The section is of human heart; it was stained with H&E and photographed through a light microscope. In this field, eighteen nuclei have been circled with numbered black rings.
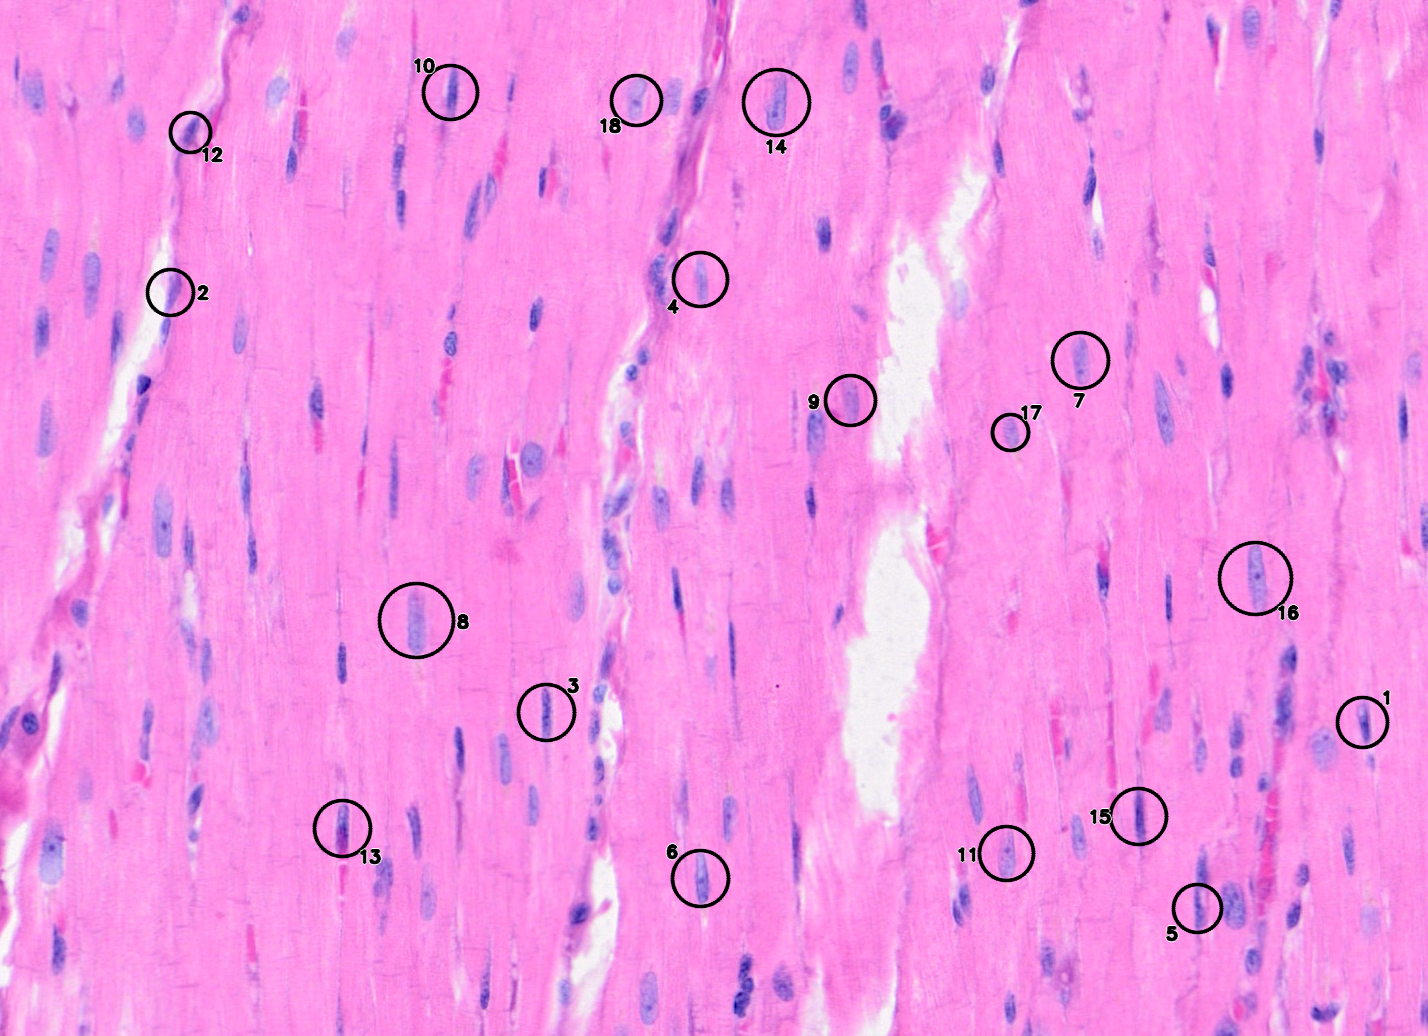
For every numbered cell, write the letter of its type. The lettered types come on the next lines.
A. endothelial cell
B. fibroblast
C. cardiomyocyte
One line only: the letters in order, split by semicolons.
A; B; A; C; B; C; C; C; C; A; C; B; A; C; A; C; C; C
